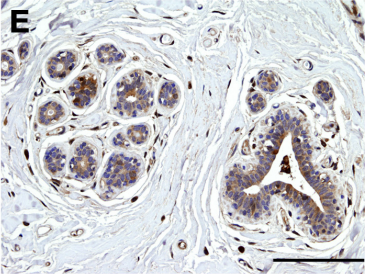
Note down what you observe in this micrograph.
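This is normal breast tissue showing a lobule of small rounded acini on the left and a larger duct on the right, set in pale fibrous connective tissue. The epithelial cells have light brown cytoplasm with blue nuclei. Scattered spindle-shaped cells in the surrounding connective tissue have nuclei that stain darker brown. The connective tissue itself is pale with wavy fibers and few cells.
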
